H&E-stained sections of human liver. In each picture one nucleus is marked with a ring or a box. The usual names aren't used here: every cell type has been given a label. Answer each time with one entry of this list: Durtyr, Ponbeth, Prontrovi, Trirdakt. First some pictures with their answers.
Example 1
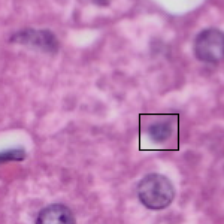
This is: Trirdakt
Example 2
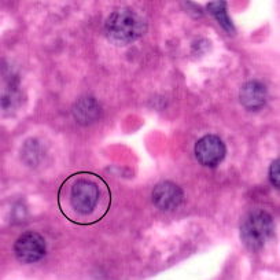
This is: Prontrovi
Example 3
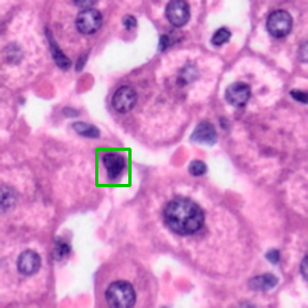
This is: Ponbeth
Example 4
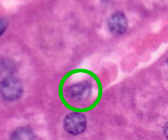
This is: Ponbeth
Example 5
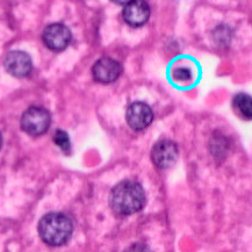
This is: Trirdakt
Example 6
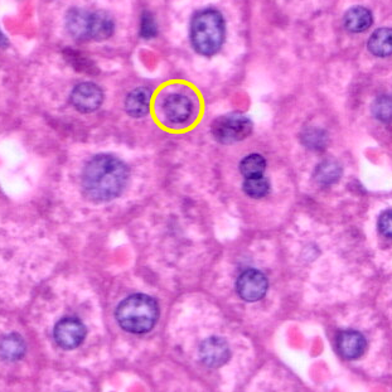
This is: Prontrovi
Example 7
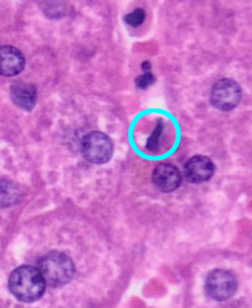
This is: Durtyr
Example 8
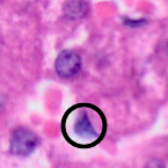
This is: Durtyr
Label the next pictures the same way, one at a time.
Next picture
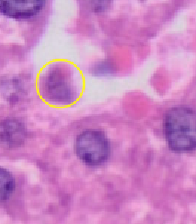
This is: Ponbeth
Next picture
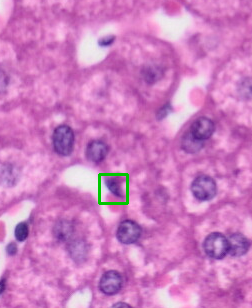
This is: Durtyr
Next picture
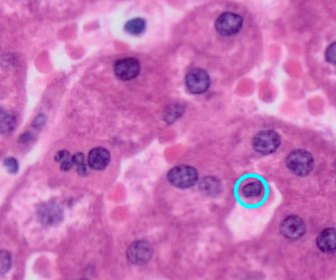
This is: Ponbeth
